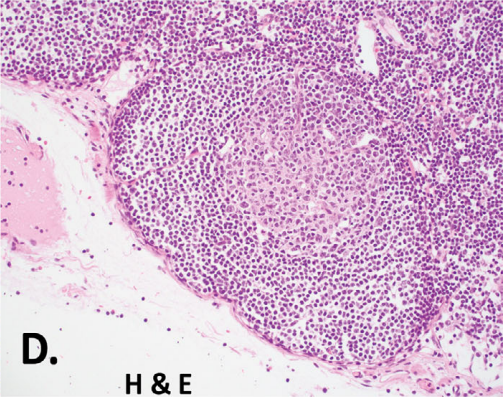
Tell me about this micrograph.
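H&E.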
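A section of lymph node shows a round follicle sitting against a thin fibrous capsule, with loose pink connective tissue outside it at the left. The follicle has a paler central zone of larger cells with more pink cytoplasm and lighter nuclei, ringed by a dense band of small lymphocytes with round dark purple nuclei. Similar small lymphocytes crowd the surrounding tissue beyond the follicle.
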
